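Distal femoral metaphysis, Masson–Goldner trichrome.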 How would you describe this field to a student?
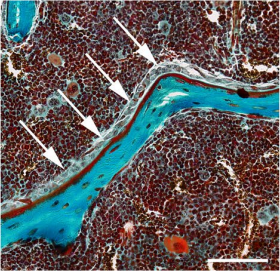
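This is a trabecula of bone within marrow, with a row of osteoblasts lining one of its surfaces. The bone matrix stains blue-green and holds small dark cell nuclei in lacunae within it. Along the upper surface runs a thin red band, and on it sits a single layer of cells, pointed to by arrows. The surrounding space is filled with densely packed small round marrow cells stained dark red to purple. The red band is osteoid, the unmineralized matrix on which the bone-forming cells rest.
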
